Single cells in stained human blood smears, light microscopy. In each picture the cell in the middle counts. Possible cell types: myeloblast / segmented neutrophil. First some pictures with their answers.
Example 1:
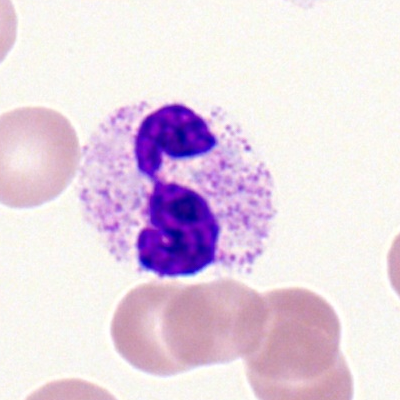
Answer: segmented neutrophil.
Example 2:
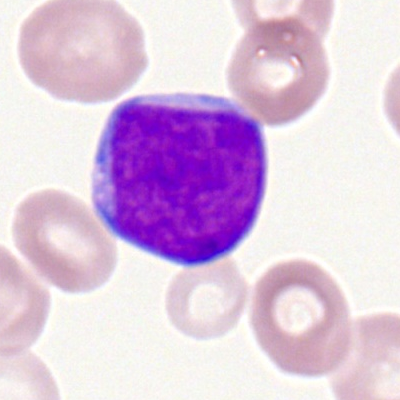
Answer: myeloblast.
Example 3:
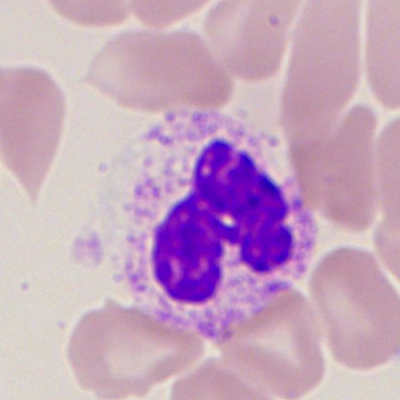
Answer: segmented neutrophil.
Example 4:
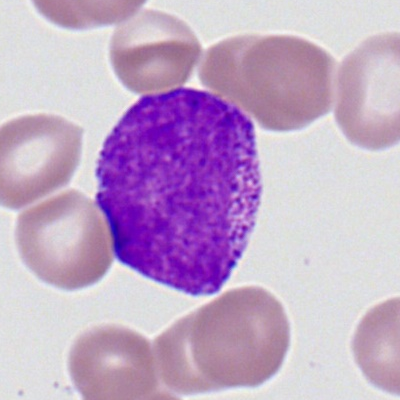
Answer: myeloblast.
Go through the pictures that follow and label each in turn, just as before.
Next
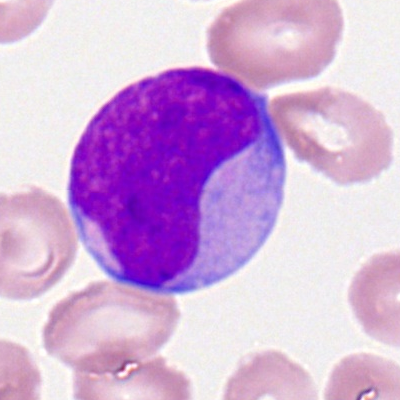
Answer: myeloblast.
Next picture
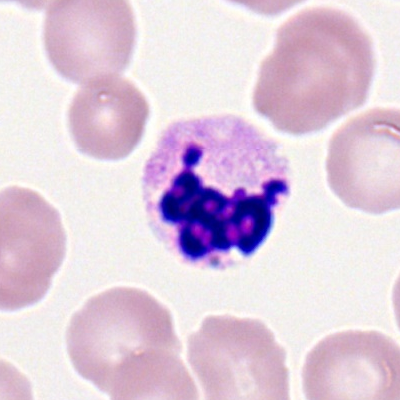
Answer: segmented neutrophil.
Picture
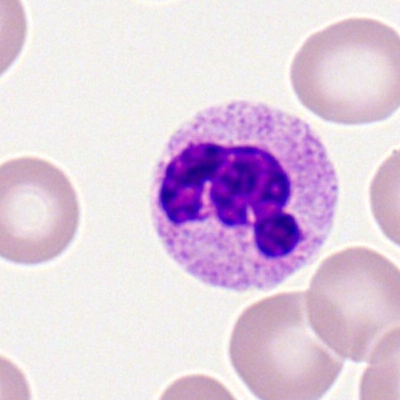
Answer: segmented neutrophil.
